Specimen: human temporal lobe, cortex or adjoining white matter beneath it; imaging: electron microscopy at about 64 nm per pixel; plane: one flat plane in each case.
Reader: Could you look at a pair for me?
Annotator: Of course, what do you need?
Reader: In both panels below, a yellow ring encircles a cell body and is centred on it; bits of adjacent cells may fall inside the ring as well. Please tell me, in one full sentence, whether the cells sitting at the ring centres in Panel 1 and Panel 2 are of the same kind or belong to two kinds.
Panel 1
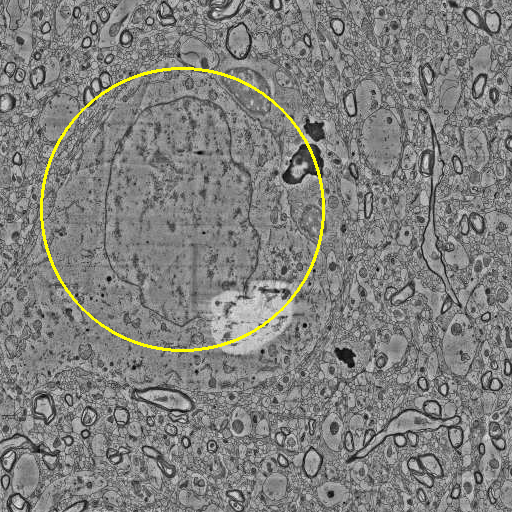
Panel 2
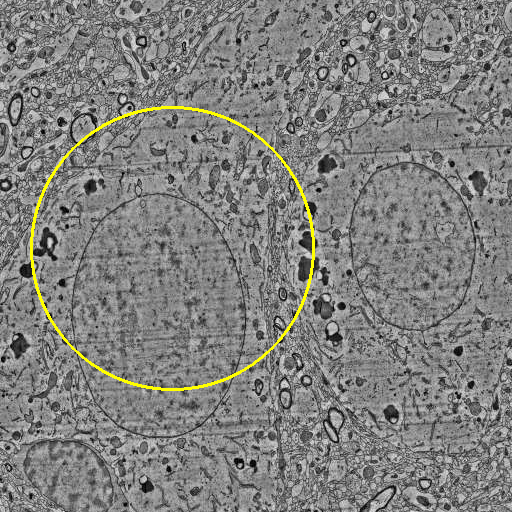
The cell at the ring's centre in Panel 1 and the one in Panel 2 are of the same kind.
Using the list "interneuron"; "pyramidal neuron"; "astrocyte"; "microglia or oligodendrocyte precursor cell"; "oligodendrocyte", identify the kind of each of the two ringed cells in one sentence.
In both pictures the ring is centred on a pyramidal neuron.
